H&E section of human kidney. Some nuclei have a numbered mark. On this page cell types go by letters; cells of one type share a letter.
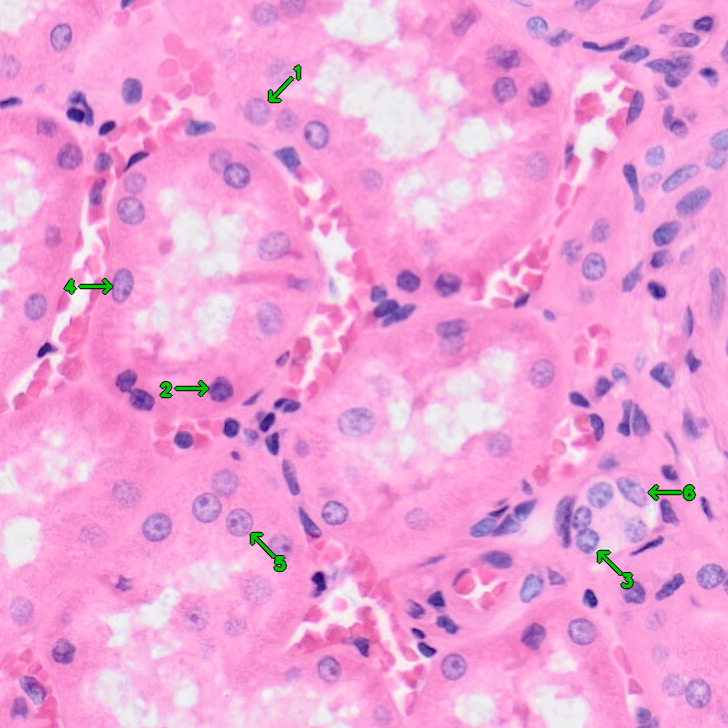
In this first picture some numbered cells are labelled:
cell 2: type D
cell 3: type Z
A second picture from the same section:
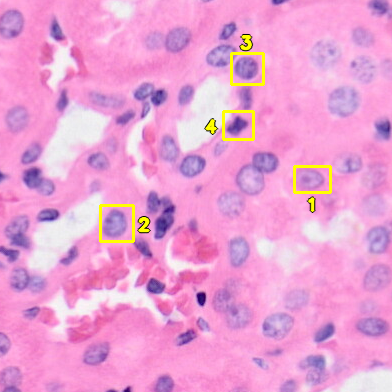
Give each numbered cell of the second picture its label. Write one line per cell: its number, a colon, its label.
1: type D
2: type Z
3: type Z
4: type Z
